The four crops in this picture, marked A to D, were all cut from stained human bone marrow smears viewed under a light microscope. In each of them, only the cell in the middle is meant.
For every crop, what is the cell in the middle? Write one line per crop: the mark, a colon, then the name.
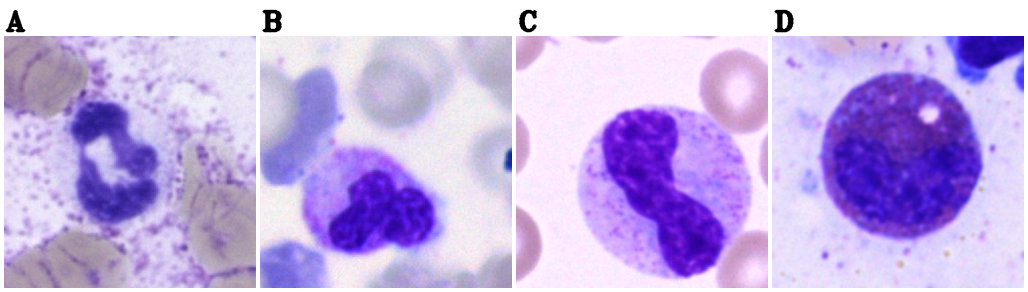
A: segmented neutrophil
B: segmented neutrophil
C: band neutrophil
D: eosinophil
